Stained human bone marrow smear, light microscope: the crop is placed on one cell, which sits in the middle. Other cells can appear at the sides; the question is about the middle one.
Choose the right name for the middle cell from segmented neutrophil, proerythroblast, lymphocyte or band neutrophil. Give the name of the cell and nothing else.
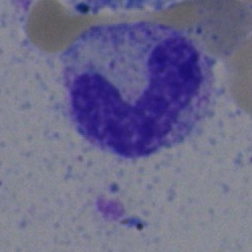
band neutrophil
